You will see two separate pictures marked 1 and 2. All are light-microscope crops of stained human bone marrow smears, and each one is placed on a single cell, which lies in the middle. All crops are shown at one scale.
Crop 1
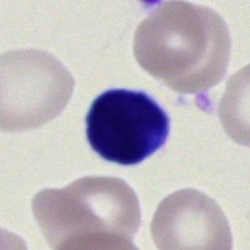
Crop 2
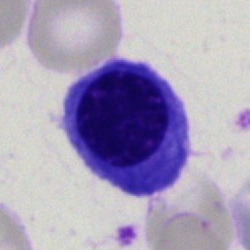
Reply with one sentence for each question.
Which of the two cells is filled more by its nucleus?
It is the cell in crop 1 that is filled more by its nucleus.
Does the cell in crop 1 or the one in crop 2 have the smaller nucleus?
Smaller is the nucleus in crop 1, and the other is about 1.5 times as large in area.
